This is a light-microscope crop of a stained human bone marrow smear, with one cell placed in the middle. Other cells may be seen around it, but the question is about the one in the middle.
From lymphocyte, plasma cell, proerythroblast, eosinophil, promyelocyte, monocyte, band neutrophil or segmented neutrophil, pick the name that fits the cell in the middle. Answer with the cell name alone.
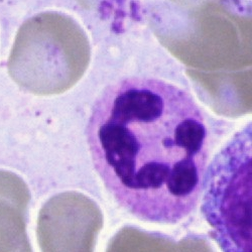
segmented neutrophil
